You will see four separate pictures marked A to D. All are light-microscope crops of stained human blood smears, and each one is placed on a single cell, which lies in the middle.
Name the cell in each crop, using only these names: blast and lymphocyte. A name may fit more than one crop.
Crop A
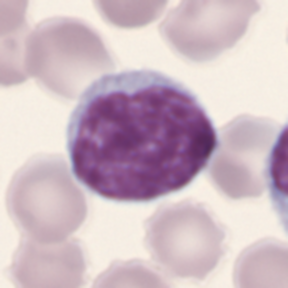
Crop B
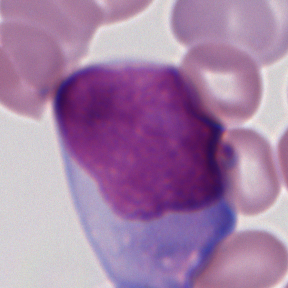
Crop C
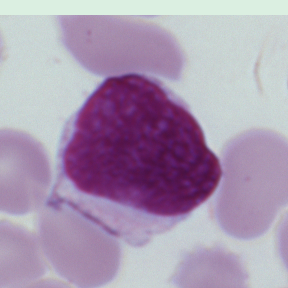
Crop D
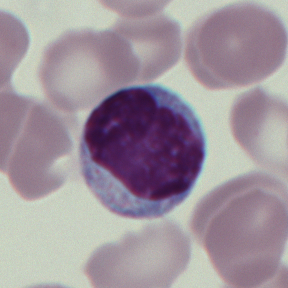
A: lymphocyte
B: blast
C: blast
D: lymphocyte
